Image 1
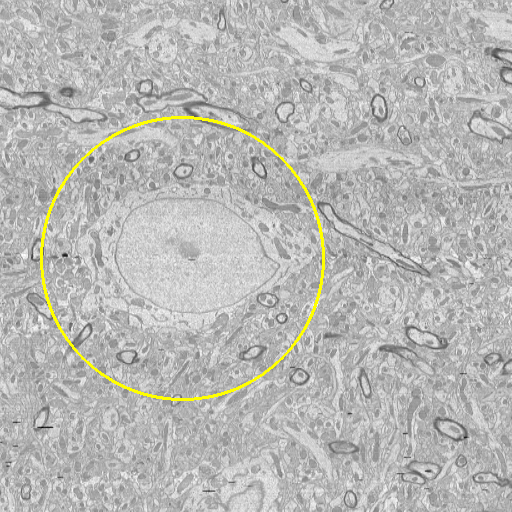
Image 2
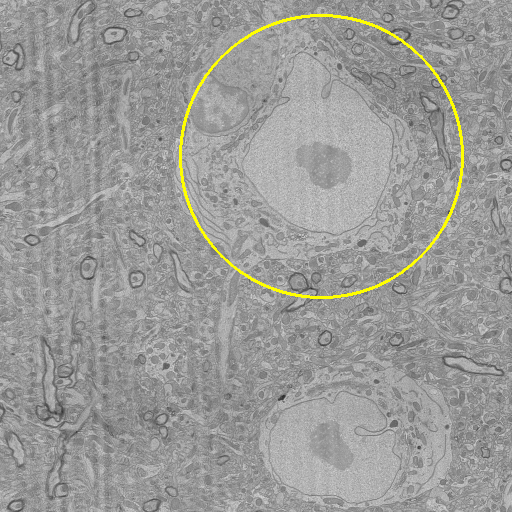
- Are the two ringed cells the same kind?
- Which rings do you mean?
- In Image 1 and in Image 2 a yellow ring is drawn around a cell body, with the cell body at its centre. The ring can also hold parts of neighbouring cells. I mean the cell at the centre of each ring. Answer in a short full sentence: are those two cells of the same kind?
Yes, both cells are of the same kind.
